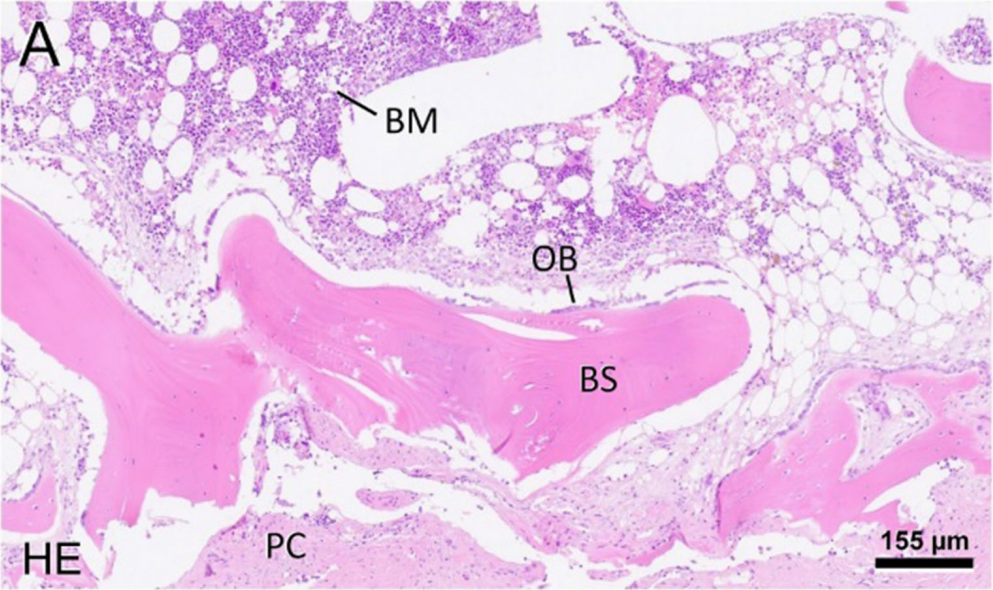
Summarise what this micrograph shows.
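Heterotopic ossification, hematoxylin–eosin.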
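Broad, eosinophilic pink bone spicules with scattered osteocyte lacunae run across the field, with a thin row of flattened cells along their marrow-facing surface. Above them the marrow space is filled with densely packed, purple-nucleated hematopoietic cells interspersed with numerous round, clear fat vacuoles. Beneath the bone lies a paler fibrous, capsule-like layer.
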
